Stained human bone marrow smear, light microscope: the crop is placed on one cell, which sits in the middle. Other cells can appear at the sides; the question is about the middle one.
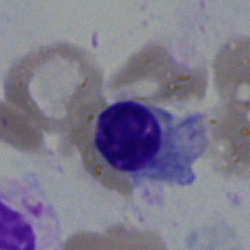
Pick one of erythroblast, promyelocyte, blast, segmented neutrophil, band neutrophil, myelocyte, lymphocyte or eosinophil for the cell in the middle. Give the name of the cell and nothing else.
erythroblast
